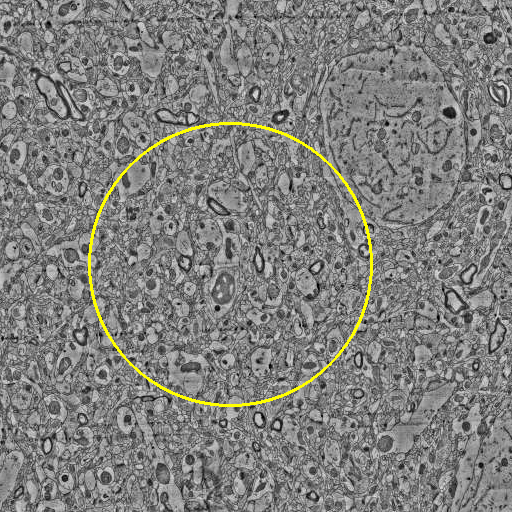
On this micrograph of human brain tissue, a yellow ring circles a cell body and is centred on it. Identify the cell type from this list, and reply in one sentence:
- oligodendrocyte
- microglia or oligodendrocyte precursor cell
The cell at the centre is a microglial cell or oligodendrocyte precursor cell.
